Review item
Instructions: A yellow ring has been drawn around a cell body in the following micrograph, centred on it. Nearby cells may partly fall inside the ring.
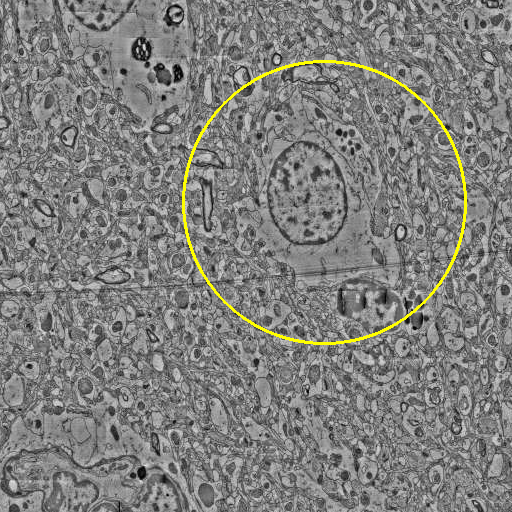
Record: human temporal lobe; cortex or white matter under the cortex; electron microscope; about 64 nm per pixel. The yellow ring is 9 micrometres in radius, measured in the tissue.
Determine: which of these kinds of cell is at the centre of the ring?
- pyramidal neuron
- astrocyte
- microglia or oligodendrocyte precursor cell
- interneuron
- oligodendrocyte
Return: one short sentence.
The cell body in the middle of the ring is that of an astrocyte.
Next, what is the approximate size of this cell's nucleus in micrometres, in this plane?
The nucleus of the ringed cell is approximately 7 by 5 micrometres in this plane.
